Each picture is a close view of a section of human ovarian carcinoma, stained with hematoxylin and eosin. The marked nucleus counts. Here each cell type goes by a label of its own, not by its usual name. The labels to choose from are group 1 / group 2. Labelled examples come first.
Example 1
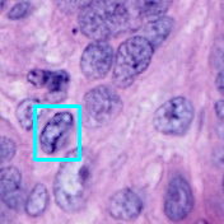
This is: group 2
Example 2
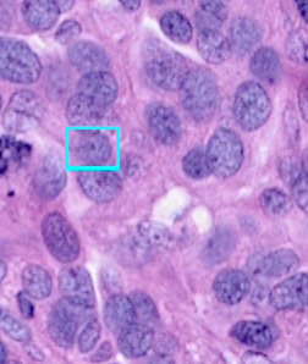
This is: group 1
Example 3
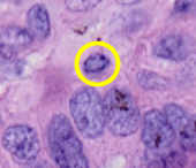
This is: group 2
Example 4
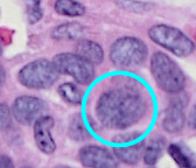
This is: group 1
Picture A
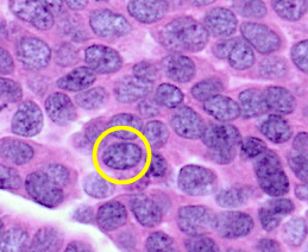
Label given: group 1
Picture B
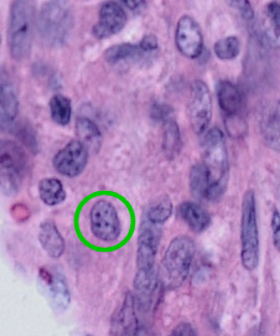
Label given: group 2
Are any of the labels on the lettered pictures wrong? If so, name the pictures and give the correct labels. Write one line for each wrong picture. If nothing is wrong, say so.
All labels are correct.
